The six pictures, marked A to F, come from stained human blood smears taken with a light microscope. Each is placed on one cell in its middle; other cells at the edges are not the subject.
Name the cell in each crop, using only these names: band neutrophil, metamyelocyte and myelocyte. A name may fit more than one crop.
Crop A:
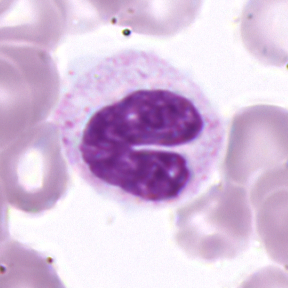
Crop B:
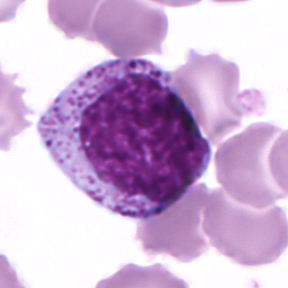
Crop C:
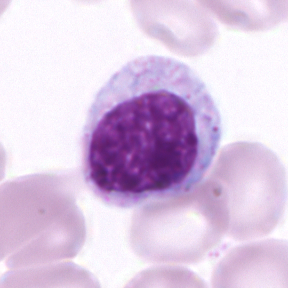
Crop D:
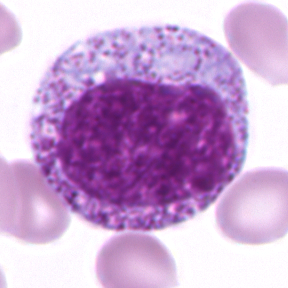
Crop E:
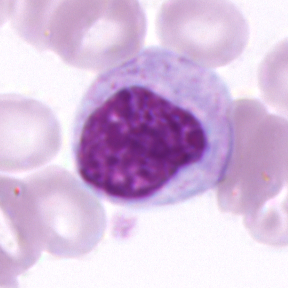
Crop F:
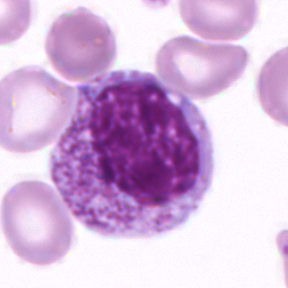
A: band neutrophil
B: myelocyte
C: metamyelocyte
D: myelocyte
E: metamyelocyte
F: myelocyte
